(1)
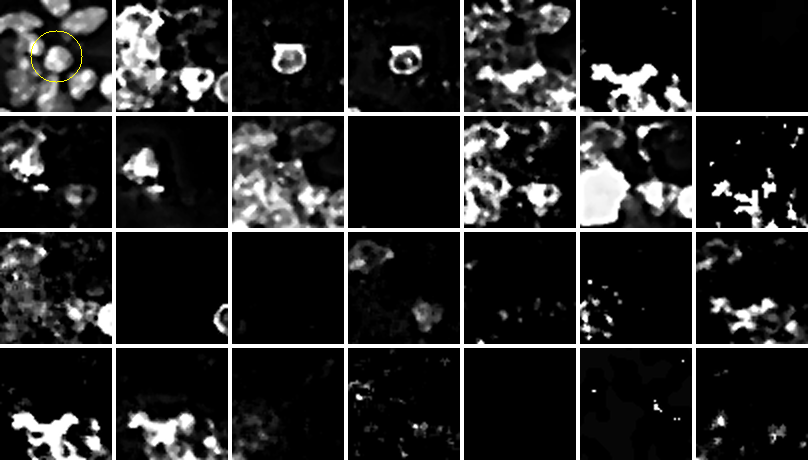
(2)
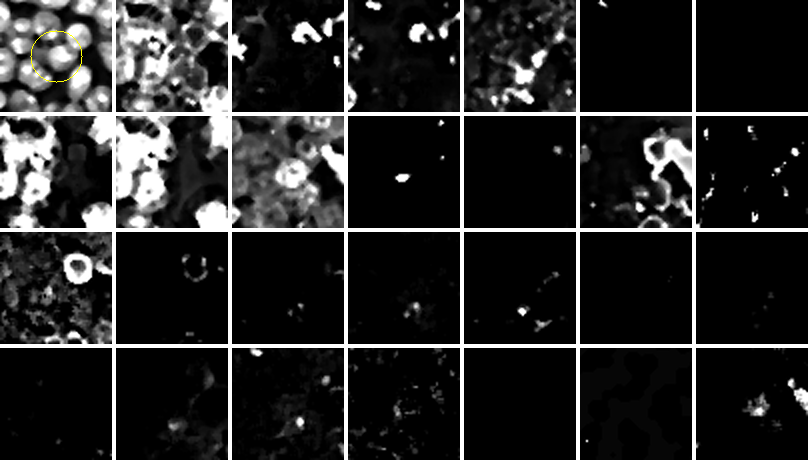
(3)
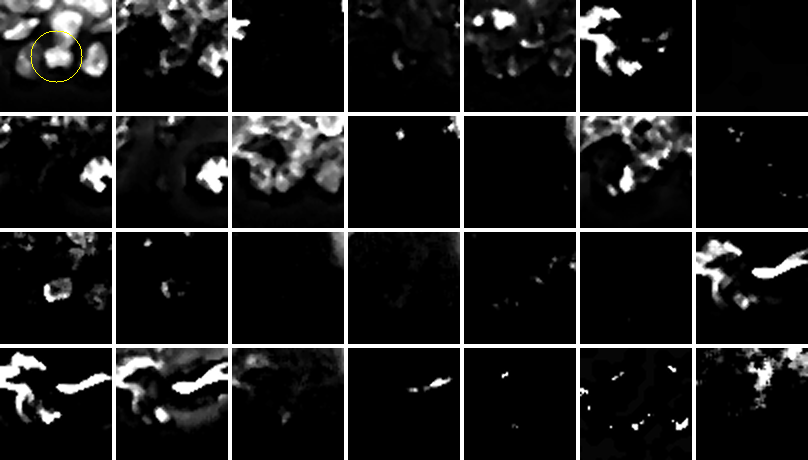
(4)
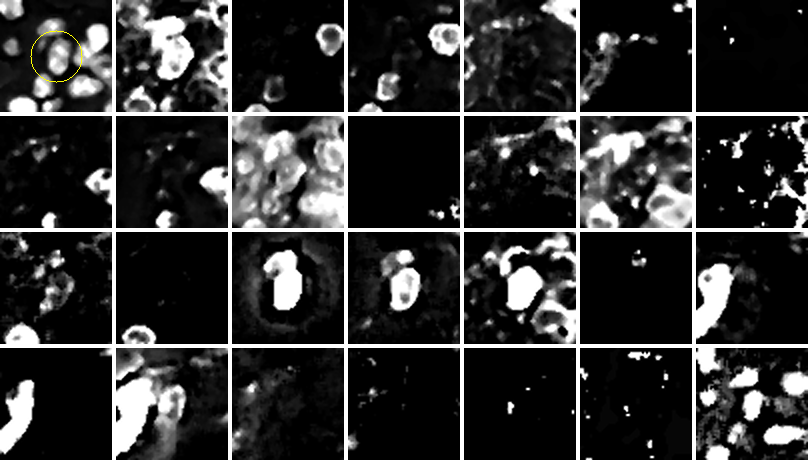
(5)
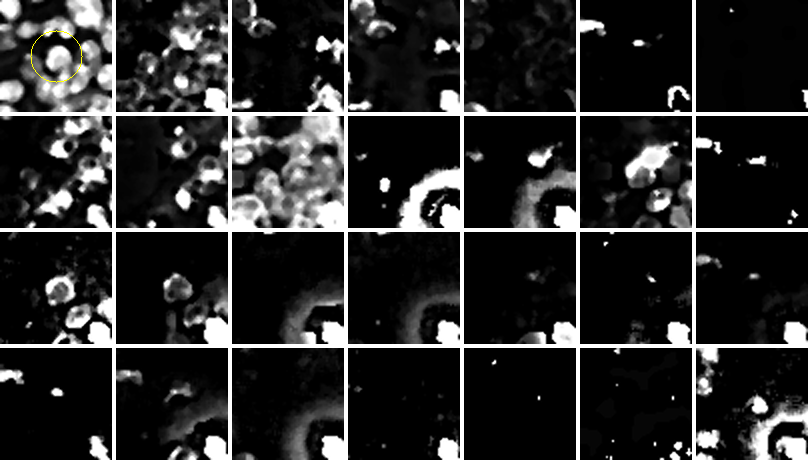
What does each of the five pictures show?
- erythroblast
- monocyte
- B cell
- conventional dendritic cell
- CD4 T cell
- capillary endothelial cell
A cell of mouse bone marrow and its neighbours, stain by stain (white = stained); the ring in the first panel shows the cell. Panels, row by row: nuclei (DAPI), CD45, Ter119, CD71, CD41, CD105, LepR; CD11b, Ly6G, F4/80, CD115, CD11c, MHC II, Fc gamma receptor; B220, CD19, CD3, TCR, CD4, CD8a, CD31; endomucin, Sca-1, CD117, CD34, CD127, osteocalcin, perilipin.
(1) erythroblast
(2) monocyte
(3) capillary endothelial cell
(4) CD4 T cell
(5) B cell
